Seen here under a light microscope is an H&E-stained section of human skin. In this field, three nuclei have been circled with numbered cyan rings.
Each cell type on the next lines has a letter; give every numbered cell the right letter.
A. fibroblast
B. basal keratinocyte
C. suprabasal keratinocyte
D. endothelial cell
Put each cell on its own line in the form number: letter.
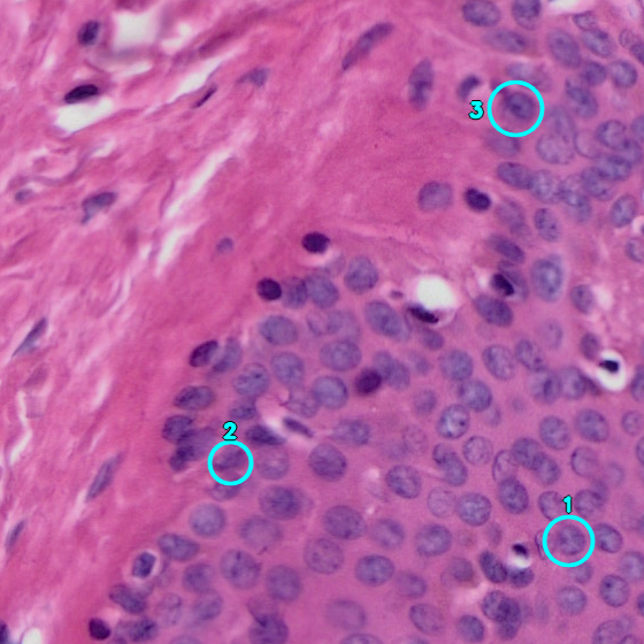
1: C
2: B
3: B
